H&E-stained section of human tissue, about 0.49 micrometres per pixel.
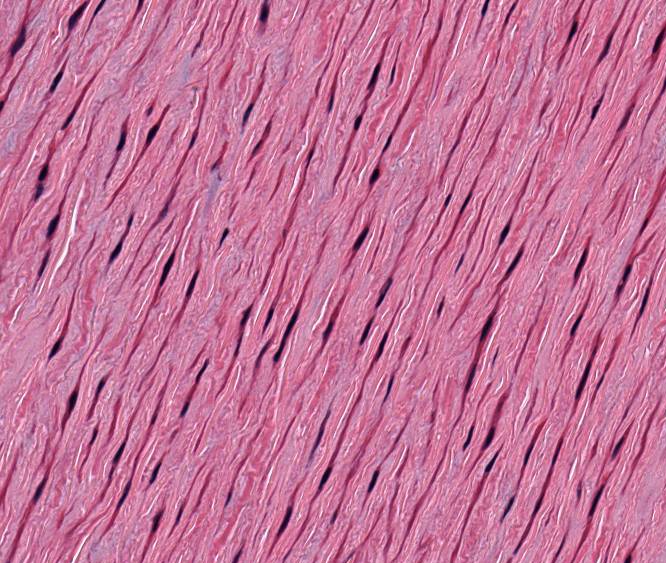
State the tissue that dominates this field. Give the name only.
tunica media of an artery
